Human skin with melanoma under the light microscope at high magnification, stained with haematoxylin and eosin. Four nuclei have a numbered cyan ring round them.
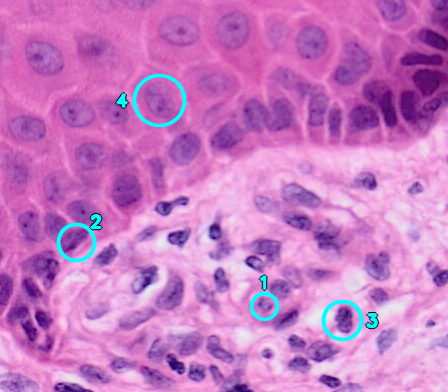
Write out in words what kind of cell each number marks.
Cell 1 is an endothelial cell. Cells 2 and 4 are keratinocytes. Cell 3 is a lymphocyte.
